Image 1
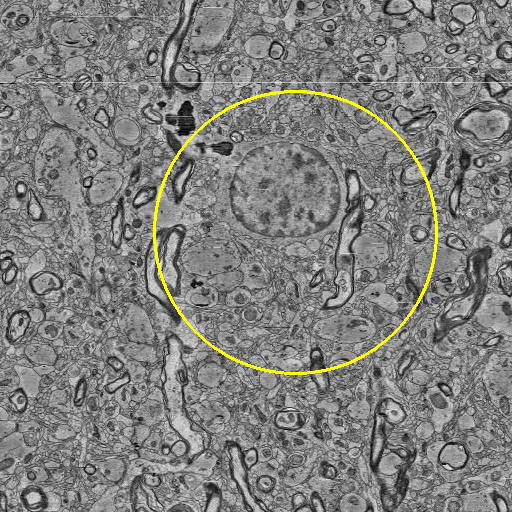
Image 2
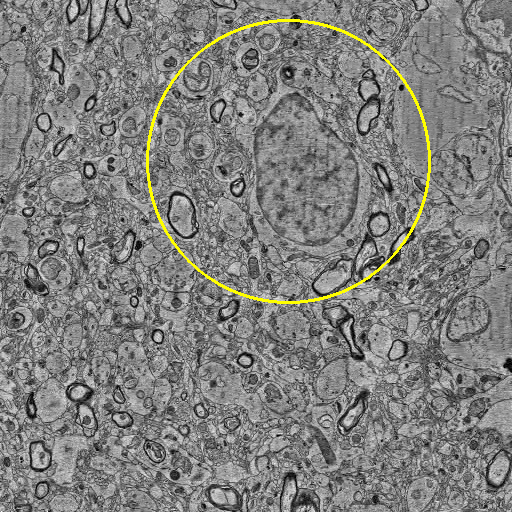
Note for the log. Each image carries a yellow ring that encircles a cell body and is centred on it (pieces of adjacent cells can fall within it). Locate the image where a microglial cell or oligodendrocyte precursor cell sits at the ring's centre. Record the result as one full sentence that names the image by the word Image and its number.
Image 2 has the wanted cell sitting at the centre of its ring.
